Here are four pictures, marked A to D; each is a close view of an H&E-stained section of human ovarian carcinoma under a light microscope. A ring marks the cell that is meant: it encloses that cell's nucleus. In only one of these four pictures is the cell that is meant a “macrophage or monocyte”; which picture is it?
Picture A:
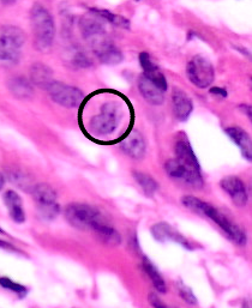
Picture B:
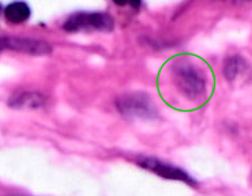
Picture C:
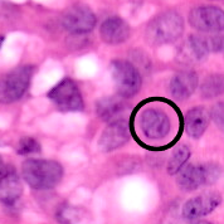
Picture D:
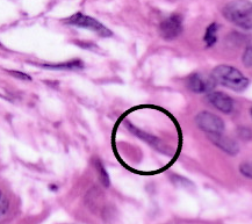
A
